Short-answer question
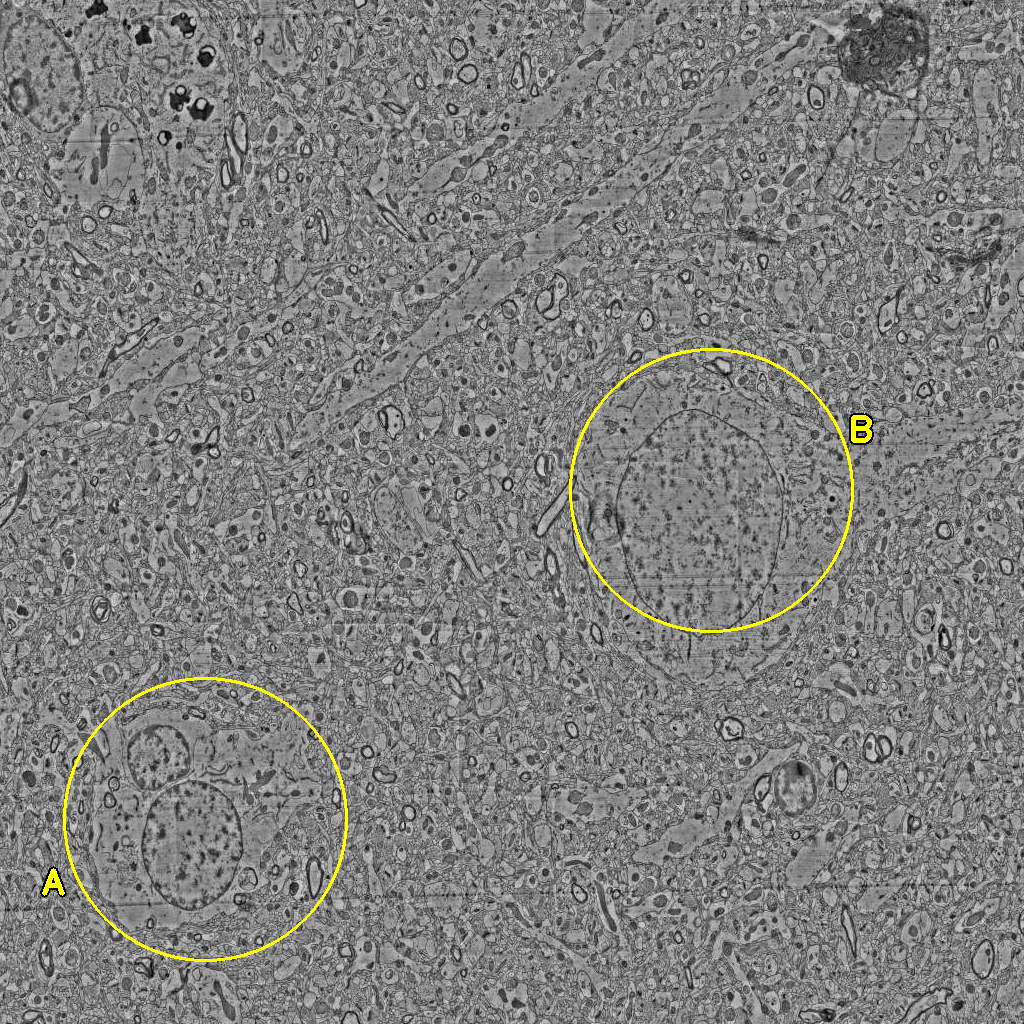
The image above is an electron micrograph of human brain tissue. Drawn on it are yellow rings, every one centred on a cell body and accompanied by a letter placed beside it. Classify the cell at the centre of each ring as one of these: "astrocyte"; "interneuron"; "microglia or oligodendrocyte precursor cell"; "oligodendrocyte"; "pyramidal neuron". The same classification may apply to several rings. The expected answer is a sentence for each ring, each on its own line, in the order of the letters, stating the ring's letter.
The cell at ring A is classified as an astrocyte.
The cell at ring B is classified as a pyramidal neuron.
